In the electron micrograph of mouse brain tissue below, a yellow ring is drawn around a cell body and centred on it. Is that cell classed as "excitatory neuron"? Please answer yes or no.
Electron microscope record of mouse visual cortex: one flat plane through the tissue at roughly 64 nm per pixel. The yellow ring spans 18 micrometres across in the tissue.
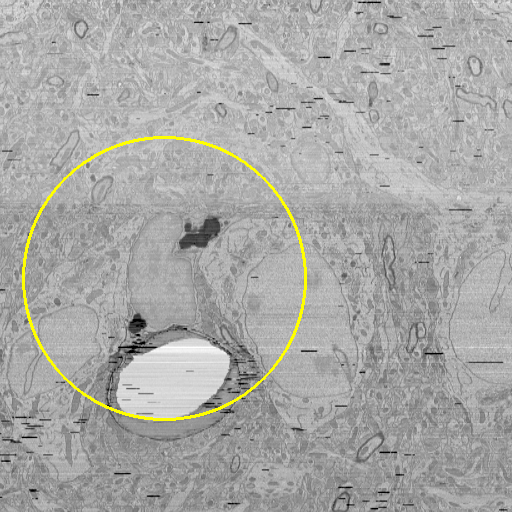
no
